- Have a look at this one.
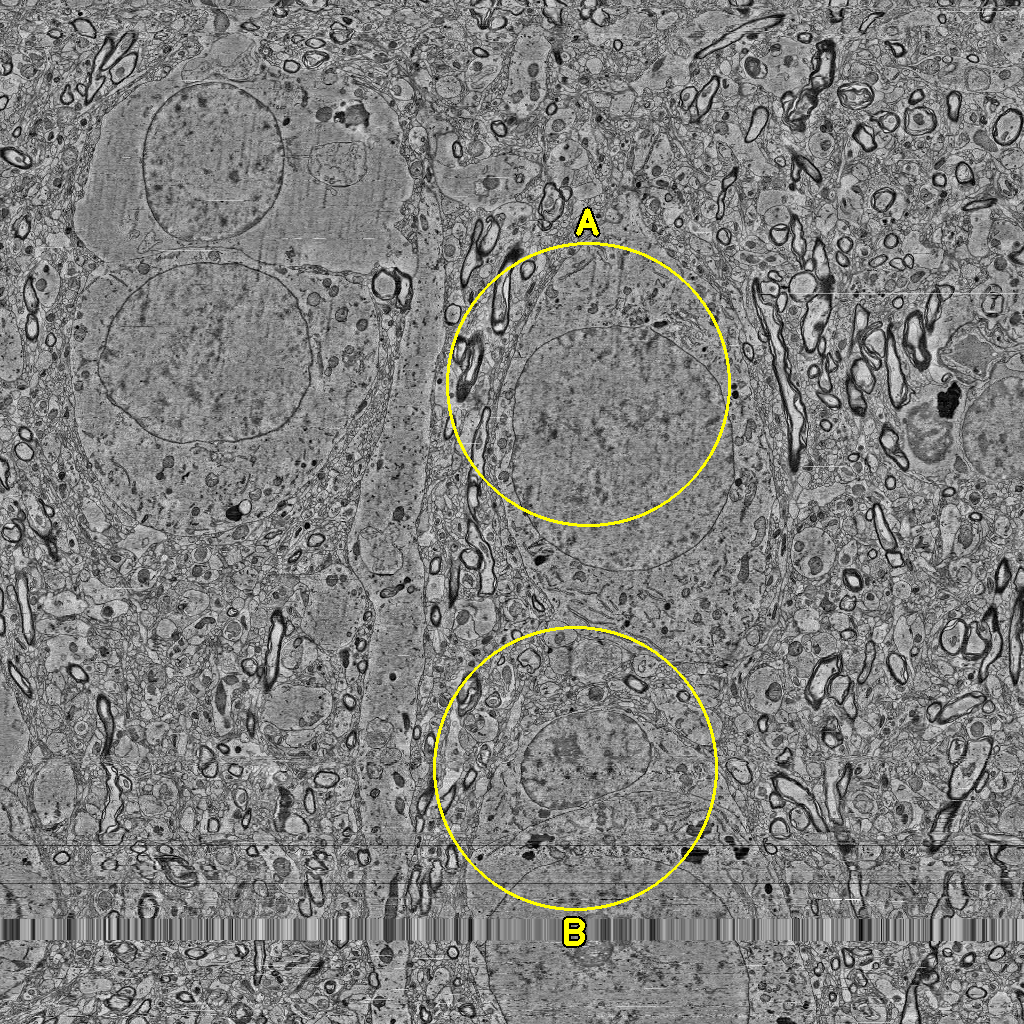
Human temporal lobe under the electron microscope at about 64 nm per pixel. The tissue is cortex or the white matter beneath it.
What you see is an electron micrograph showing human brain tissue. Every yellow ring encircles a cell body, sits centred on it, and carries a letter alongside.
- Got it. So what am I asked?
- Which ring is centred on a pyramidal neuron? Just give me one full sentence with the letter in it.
The cell asked for sits in the centre of the ring lettered A.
